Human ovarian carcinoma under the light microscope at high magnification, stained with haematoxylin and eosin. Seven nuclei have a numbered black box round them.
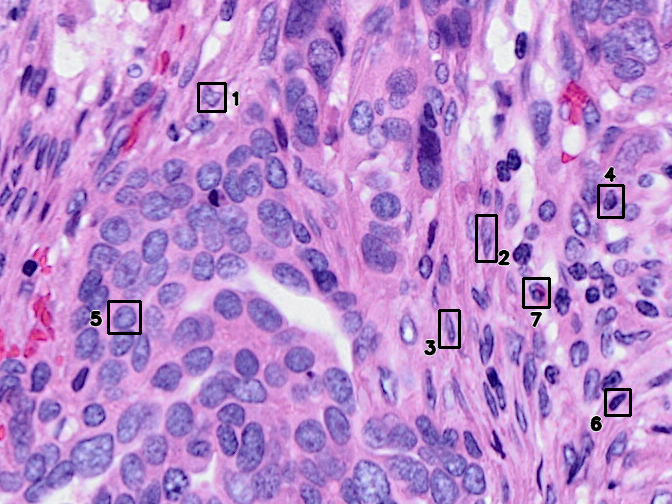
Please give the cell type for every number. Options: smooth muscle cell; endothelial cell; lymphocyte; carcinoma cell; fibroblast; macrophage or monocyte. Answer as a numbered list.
1. fibroblast
2. fibroblast
3. fibroblast
4. lymphocyte
5. carcinoma cell
6. lymphocyte
7. lymphocyte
